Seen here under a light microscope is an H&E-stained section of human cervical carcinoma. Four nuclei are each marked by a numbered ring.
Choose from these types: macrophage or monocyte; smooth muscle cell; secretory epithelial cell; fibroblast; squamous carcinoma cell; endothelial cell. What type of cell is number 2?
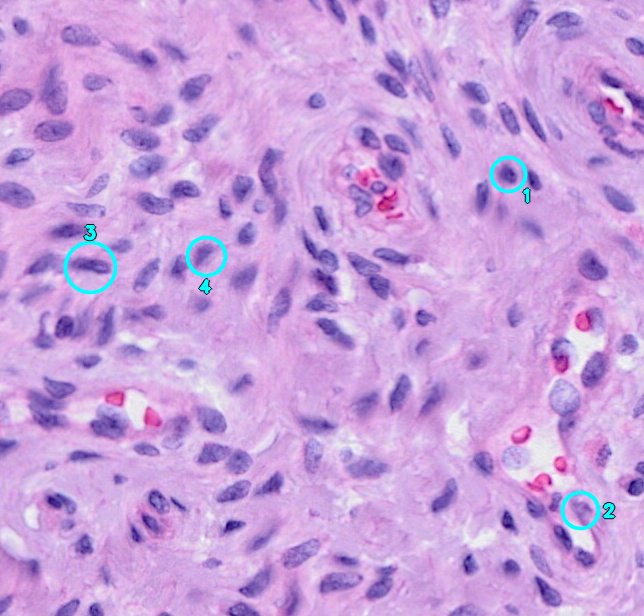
endothelial cell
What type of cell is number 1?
fibroblast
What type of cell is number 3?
fibroblast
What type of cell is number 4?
fibroblast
